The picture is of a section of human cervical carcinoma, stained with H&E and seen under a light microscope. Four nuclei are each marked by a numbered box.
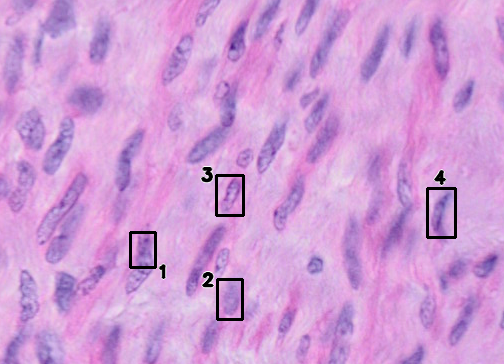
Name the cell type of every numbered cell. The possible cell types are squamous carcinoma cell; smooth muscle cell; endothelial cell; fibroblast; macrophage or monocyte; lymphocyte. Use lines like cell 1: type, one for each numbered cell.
cell 1: smooth muscle cell
cell 2: smooth muscle cell
cell 3: smooth muscle cell
cell 4: fibroblast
